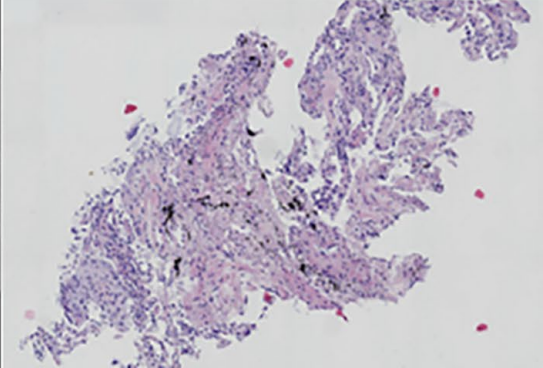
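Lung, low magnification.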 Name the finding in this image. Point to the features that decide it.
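Many walls between the air spaces are thick and pink rather than thin lines. Thickened walls carry many small dark purple nuclei. So: alveolar septa widened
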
